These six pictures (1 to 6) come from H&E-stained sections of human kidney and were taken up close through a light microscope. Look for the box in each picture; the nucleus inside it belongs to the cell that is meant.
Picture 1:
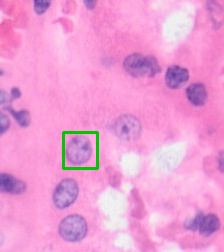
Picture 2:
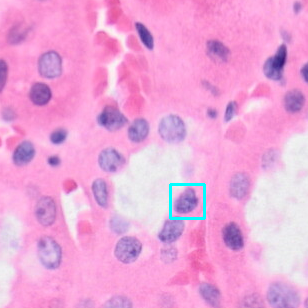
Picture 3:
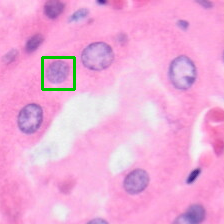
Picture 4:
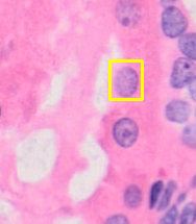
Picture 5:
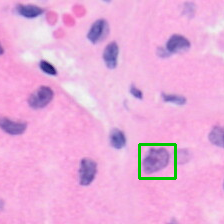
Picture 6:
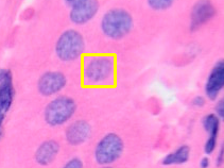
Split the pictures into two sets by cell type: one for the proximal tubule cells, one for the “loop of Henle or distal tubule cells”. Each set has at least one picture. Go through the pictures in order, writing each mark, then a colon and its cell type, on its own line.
1: proximal tubule cell
2: loop of Henle or distal tubule cell
3: proximal tubule cell
4: proximal tubule cell
5: proximal tubule cell
6: loop of Henle or distal tubule cell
